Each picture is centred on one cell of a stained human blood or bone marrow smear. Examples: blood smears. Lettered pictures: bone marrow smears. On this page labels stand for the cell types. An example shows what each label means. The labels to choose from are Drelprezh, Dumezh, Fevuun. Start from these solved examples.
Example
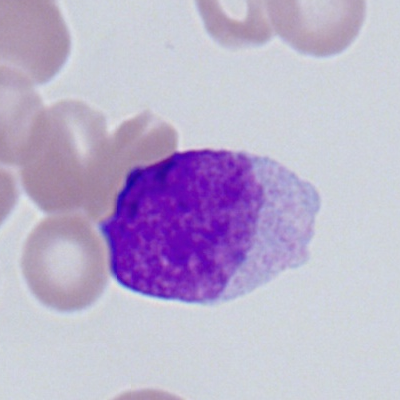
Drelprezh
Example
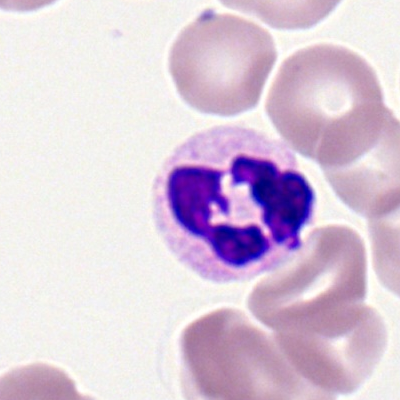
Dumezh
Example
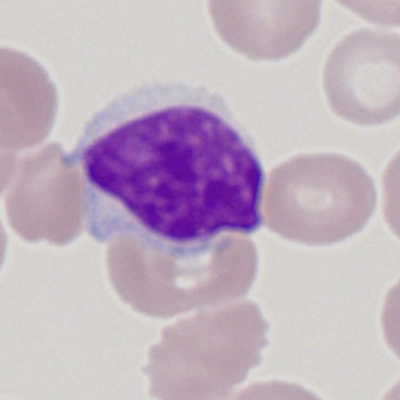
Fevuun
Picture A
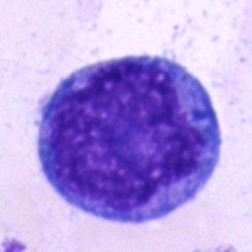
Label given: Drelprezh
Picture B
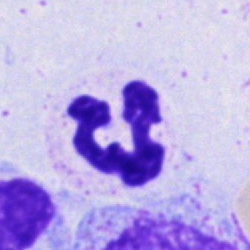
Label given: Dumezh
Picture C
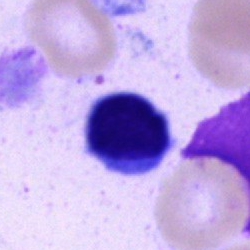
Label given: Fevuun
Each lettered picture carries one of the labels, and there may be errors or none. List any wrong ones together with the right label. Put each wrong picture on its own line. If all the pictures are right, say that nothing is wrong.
Every label is right.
